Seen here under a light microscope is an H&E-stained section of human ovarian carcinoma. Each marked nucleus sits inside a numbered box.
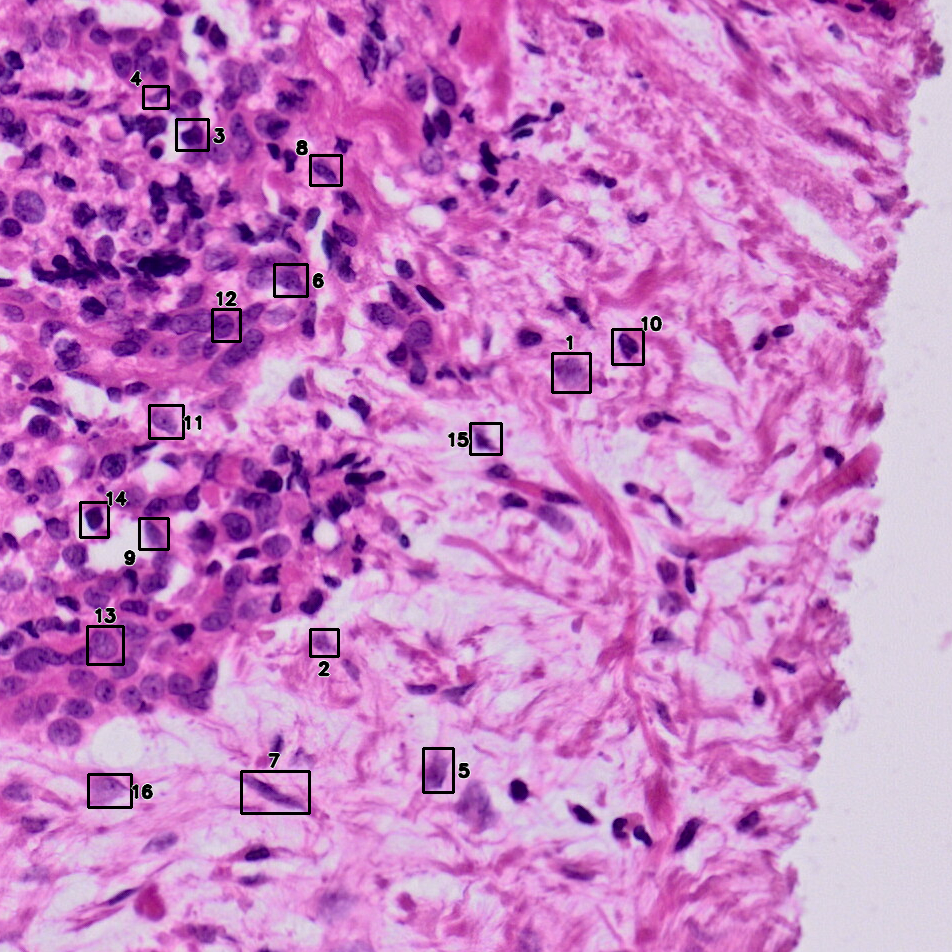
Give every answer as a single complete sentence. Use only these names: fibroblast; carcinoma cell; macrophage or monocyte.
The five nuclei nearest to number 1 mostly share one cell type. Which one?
The majority of the five nuclei closest to number 1 belong to macrophages or monocytes.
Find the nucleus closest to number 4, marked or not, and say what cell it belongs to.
It is a carcinoma cell whose nucleus is nearest to number 4.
